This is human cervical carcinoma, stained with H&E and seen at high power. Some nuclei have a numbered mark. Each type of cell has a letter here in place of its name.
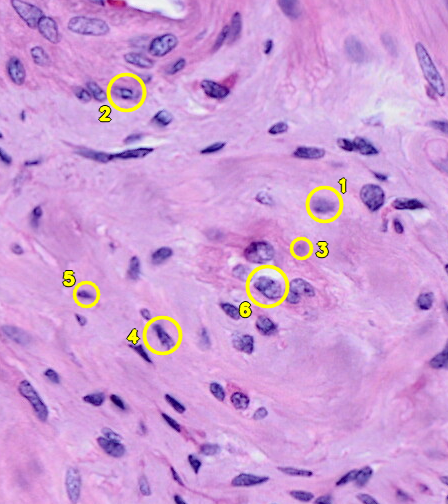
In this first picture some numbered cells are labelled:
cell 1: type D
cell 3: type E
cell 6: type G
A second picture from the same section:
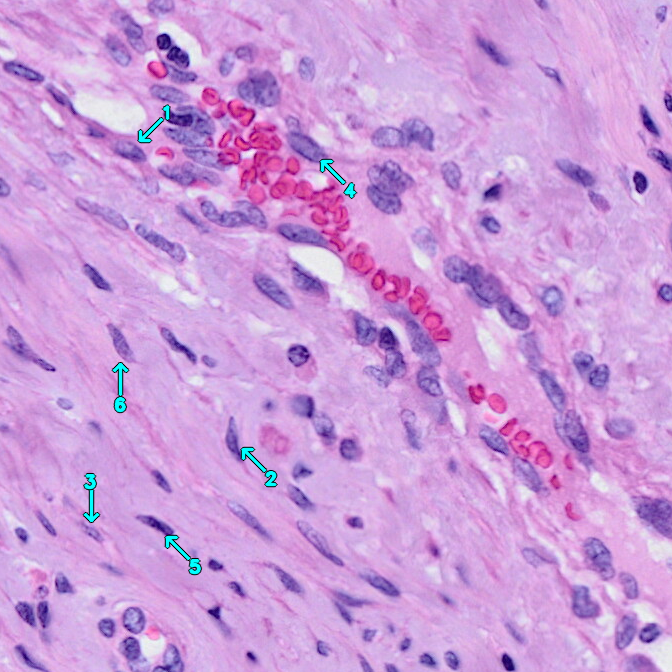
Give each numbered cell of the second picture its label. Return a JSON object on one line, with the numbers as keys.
{"1": "type G", "2": "type D", "3": "type E", "4": "type G", "5": "type D", "6": "type D"}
